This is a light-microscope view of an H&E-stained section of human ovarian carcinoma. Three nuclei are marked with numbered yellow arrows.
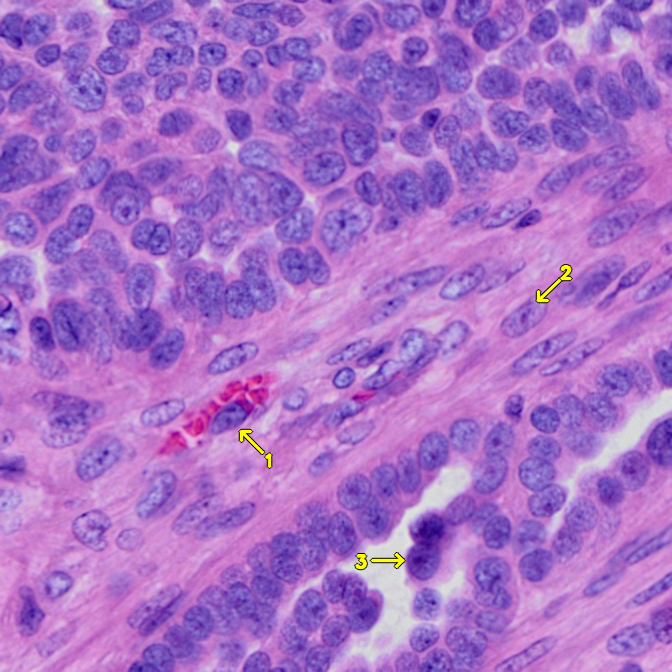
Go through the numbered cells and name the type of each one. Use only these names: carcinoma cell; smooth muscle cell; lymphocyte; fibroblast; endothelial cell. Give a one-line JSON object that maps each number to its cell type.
{"1": "endothelial cell", "2": "fibroblast", "3": "carcinoma cell"}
